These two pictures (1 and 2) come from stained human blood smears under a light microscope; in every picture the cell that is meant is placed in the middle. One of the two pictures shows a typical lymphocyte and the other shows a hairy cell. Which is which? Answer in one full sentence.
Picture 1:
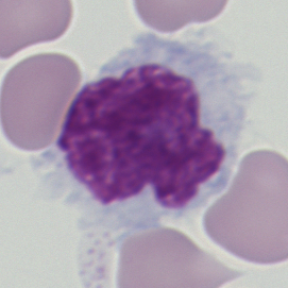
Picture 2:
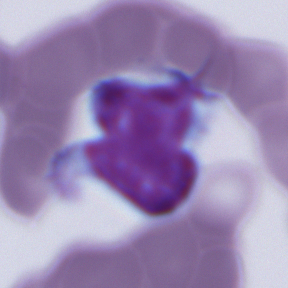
It is picture 1 that shows a hairy cell, and picture 2 that shows a typical lymphocyte.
